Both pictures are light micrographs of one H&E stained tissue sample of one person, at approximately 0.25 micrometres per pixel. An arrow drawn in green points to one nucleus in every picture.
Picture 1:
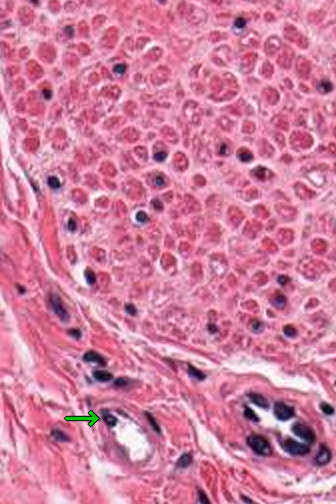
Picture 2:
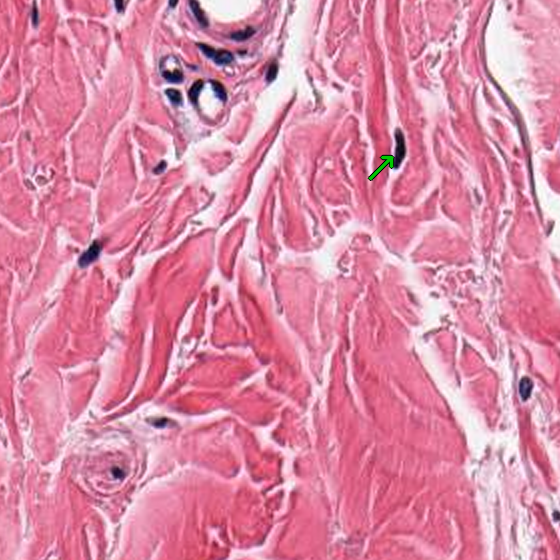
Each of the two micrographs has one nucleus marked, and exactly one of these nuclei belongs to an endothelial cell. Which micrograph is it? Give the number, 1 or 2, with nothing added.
1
